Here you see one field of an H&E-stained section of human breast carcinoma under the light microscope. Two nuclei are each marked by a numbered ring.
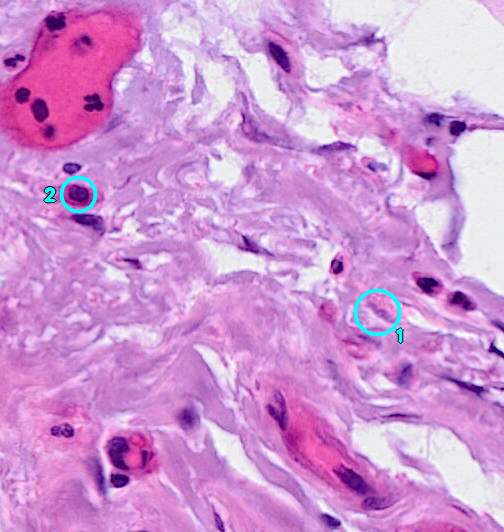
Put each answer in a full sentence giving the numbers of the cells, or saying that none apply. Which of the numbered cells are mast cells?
As for the numbered cells, only cell 2 is a mast cell.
